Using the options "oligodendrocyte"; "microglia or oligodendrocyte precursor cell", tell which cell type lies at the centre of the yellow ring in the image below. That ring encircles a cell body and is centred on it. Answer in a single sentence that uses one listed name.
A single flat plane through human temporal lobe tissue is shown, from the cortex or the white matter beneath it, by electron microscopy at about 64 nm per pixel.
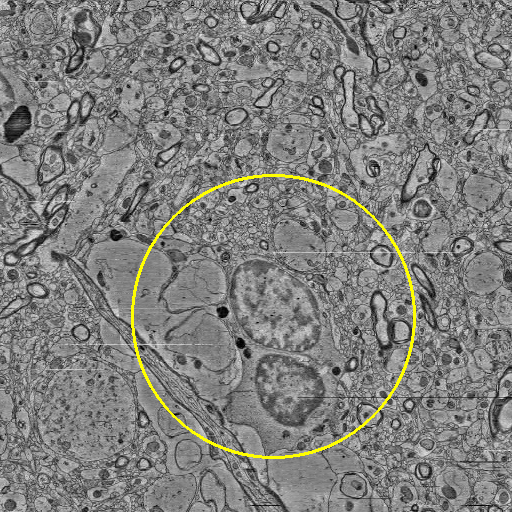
At the centre of the yellow ring lies the body of an oligodendrocyte.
